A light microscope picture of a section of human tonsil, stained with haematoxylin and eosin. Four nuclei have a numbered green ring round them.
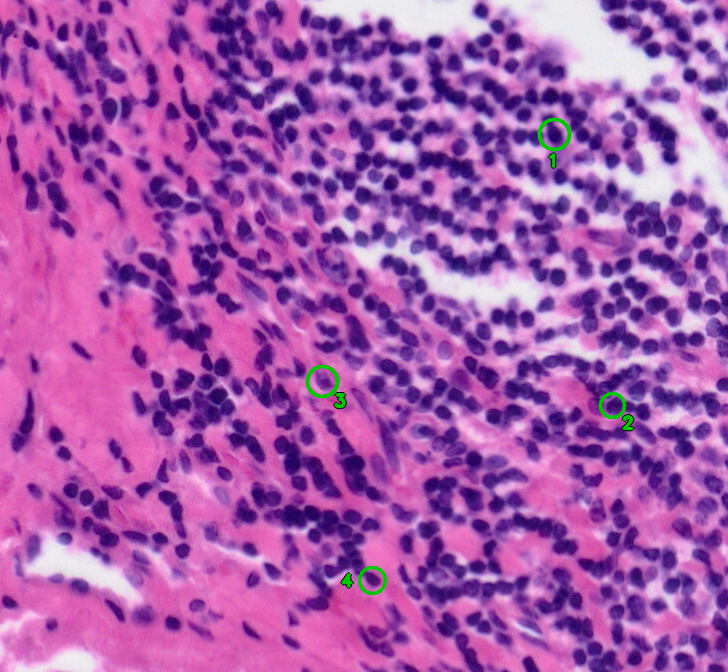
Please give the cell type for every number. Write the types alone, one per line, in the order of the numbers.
small lymphocyte
small lymphocyte
endothelial cell
mast cell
